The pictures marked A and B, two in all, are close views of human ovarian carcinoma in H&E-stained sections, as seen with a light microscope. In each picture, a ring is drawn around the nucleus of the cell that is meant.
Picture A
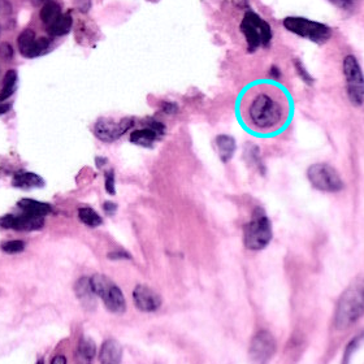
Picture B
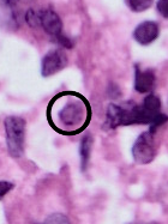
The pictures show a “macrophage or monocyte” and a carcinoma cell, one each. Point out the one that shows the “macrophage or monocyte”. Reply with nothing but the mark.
A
